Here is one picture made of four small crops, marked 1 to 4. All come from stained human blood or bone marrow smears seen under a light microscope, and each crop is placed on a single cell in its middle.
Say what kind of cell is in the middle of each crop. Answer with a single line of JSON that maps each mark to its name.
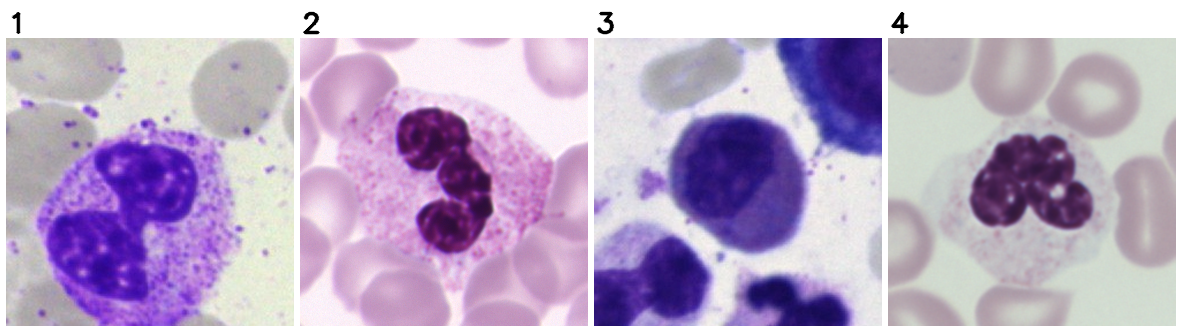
{"1": "segmented neutrophil", "2": "segmented neutrophil", "3": "eosinophil", "4": "segmented neutrophil"}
